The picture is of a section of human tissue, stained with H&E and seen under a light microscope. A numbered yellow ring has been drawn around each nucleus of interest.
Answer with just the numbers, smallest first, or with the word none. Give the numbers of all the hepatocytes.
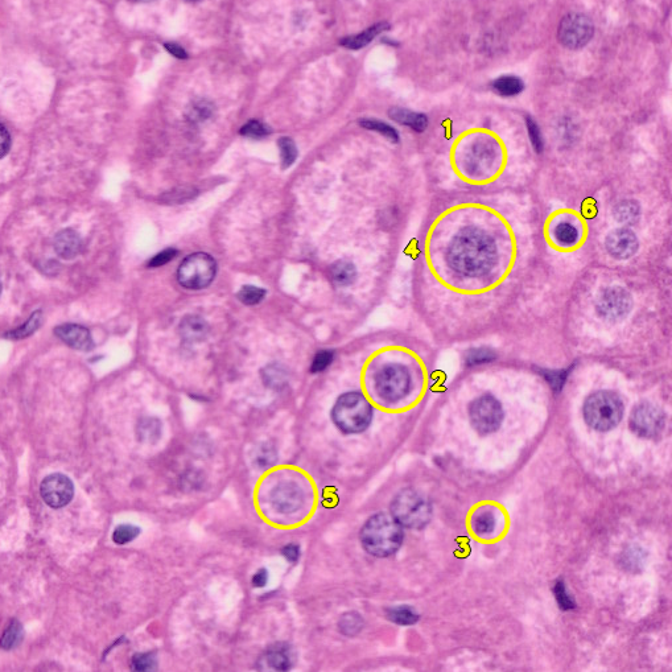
1, 2, 4, 5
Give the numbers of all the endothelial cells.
none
